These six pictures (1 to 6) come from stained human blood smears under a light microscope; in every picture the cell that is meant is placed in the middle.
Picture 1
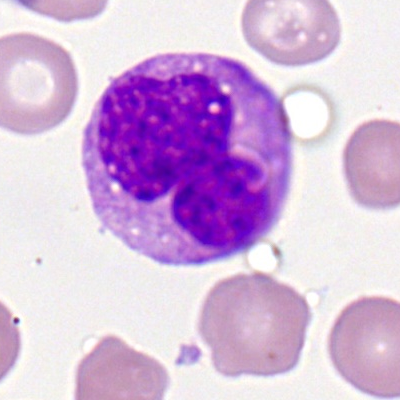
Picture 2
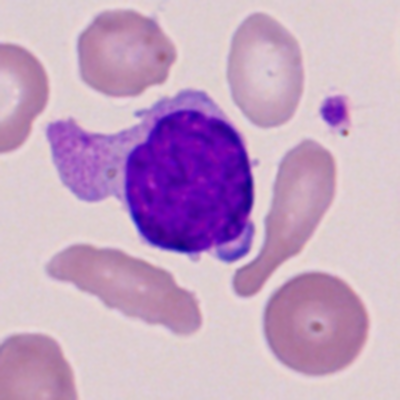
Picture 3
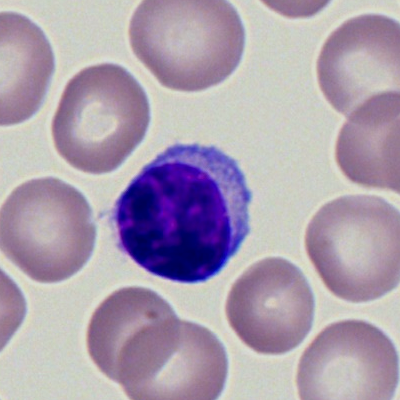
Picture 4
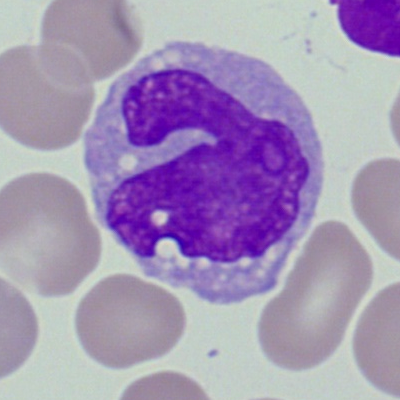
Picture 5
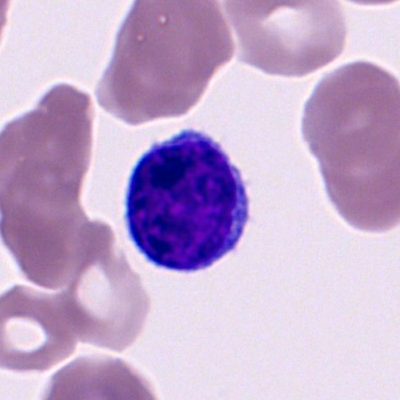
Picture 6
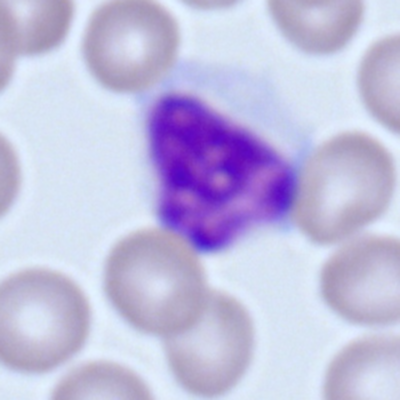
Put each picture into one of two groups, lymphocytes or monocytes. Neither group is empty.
1: monocyte
2: lymphocyte
3: lymphocyte
4: monocyte
5: lymphocyte
6: lymphocyte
